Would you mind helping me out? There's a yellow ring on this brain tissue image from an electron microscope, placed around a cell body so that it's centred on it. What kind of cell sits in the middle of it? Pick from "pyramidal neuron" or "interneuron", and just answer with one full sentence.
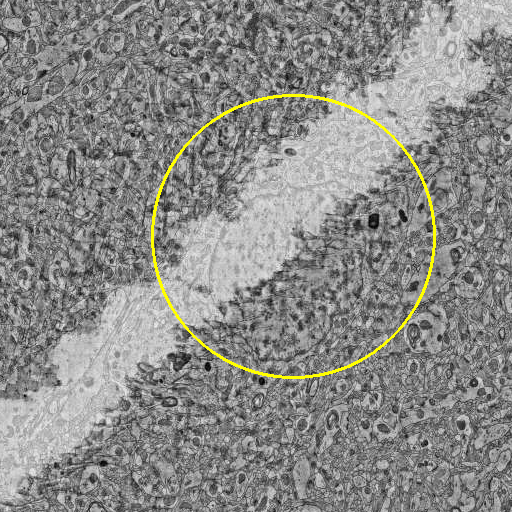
What sits in the middle of that yellow ring is an interneuron, from your choices.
